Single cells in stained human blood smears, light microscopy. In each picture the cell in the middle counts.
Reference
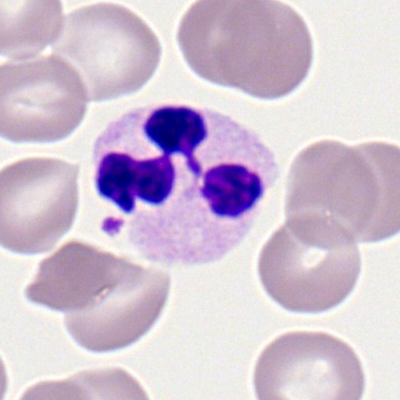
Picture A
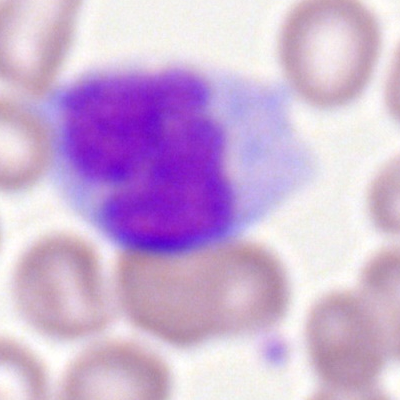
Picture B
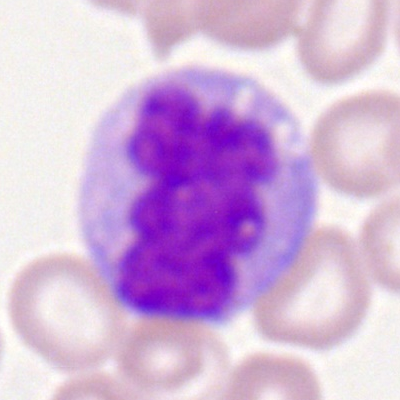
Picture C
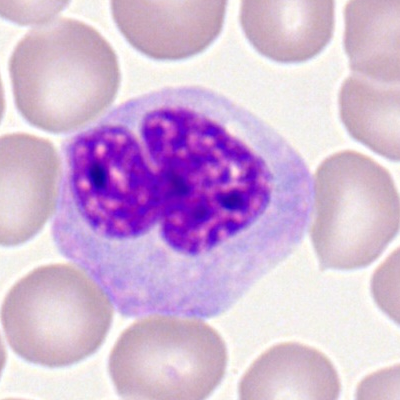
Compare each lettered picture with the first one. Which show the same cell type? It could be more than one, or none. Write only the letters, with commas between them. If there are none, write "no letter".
no letter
